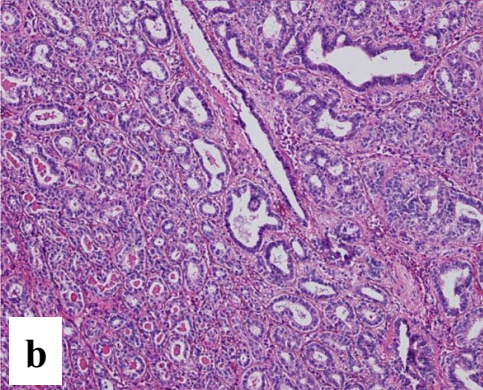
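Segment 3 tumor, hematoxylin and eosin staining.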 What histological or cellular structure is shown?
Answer: Luminal structure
